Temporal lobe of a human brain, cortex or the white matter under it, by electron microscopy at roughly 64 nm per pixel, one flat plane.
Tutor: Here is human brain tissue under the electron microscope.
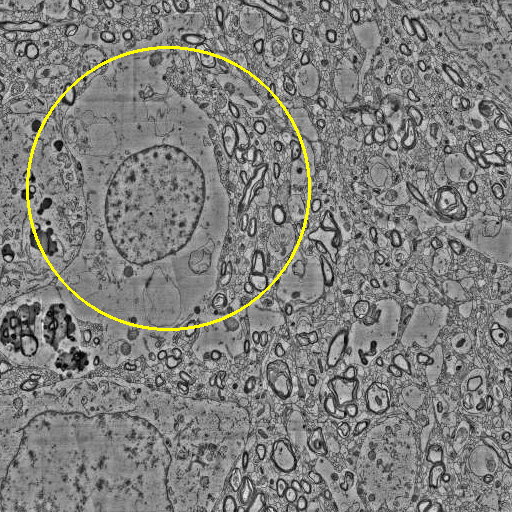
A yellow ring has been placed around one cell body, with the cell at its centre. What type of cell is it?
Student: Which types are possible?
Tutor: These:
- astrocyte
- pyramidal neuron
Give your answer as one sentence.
What the ring picks out here is an astrocyte.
